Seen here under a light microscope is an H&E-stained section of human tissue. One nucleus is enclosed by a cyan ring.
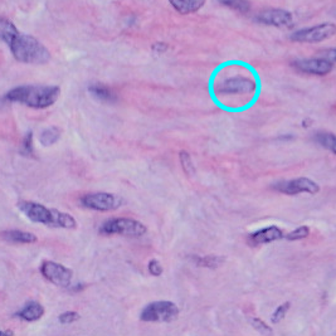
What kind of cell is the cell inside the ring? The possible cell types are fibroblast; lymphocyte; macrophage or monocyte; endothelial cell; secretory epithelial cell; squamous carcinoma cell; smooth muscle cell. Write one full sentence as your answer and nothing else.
By its classification, the cell inside the ring is a smooth muscle cell.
